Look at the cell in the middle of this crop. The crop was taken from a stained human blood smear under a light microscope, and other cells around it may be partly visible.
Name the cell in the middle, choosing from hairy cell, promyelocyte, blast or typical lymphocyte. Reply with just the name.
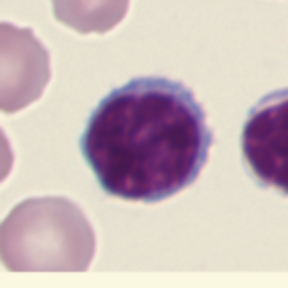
typical lymphocyte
